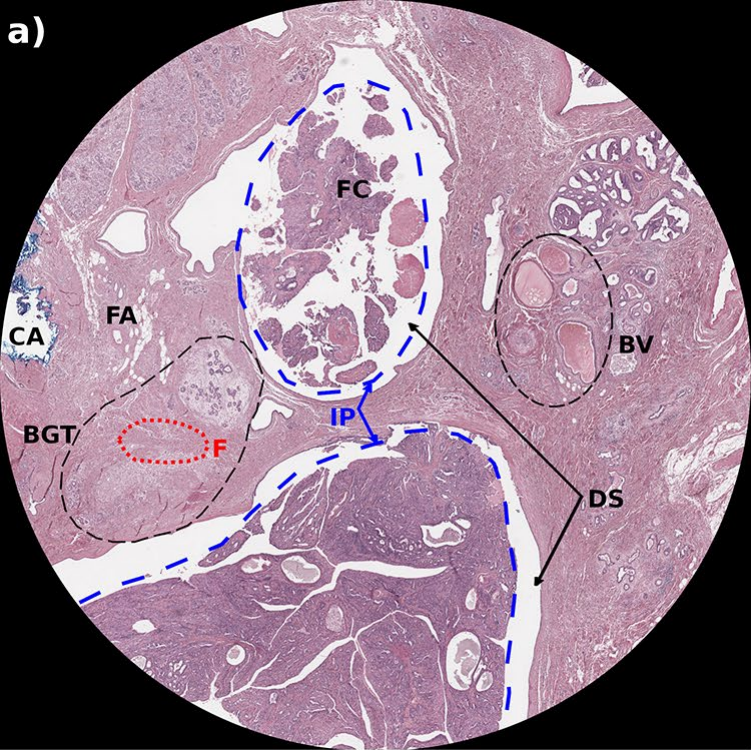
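This is breast tissue with an intraductal papilloma, in which dilated ducts are filled with branching, purple-staining papillary fronds built around fibrovascular cores. The fronds are separated from the pink fibrous wall of the duct by a clear, cleft-like ductal space, and in the upper duct they are broken up into many loose fragments. The surrounding stroma is dense, pink and fibrous, and at the upper right lies a cluster of small glandular structures beside several round, thick-walled blood vessels with pink contents. On the left, paler glandular lobules of breast tissue sit within fibrous and fatty stroma with empty fat spaces.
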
